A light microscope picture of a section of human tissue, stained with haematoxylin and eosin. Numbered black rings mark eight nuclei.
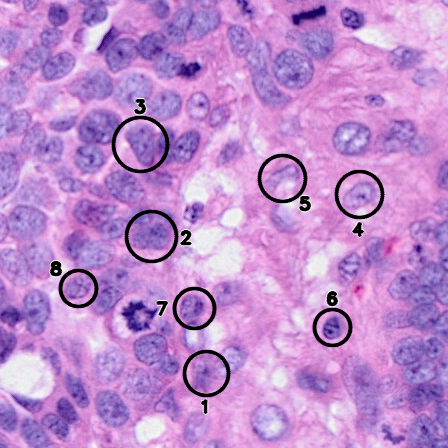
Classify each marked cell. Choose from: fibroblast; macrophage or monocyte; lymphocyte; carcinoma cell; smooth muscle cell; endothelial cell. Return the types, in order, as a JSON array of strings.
["fibroblast", "carcinoma cell", "carcinoma cell", "fibroblast", "fibroblast", "lymphocyte", "macrophage or monocyte", "carcinoma cell"]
